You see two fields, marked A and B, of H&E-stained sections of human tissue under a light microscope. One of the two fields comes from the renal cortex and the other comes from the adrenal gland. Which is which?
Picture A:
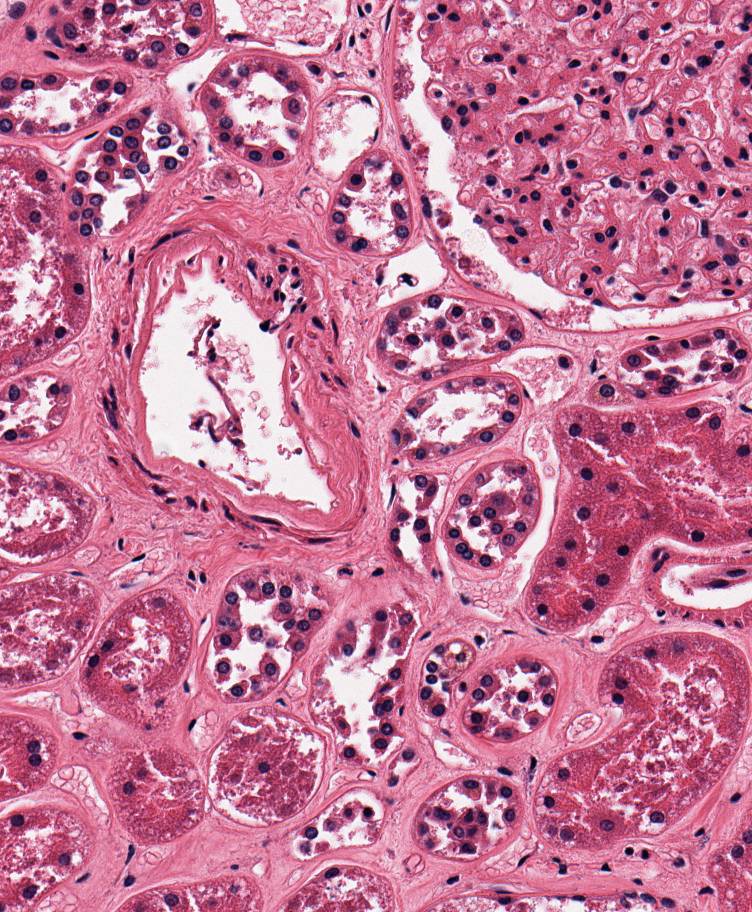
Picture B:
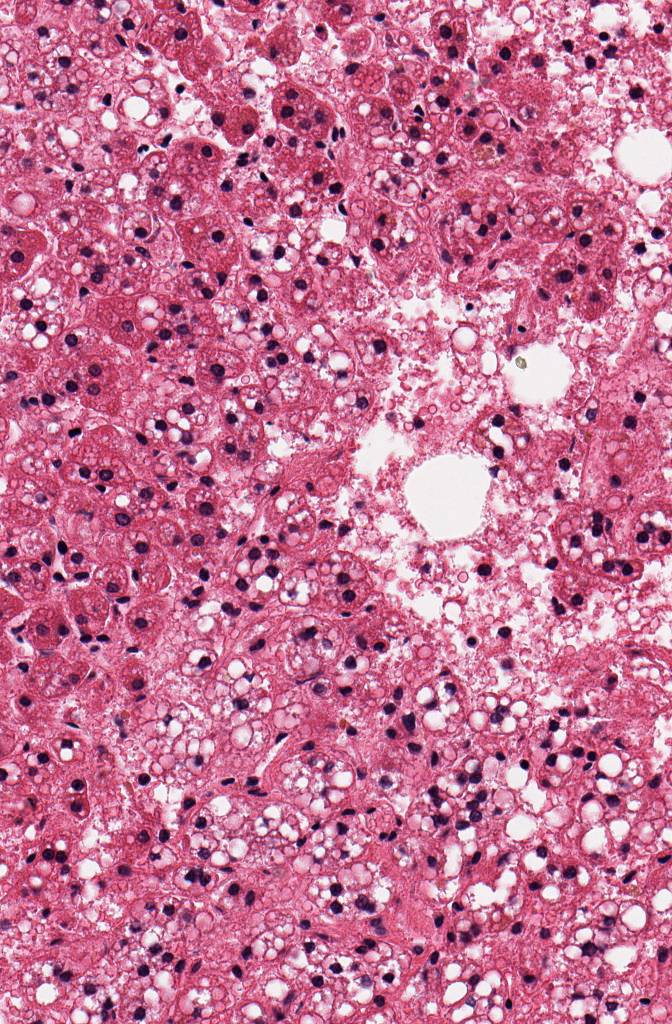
A: renal cortex
B: adrenal gland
